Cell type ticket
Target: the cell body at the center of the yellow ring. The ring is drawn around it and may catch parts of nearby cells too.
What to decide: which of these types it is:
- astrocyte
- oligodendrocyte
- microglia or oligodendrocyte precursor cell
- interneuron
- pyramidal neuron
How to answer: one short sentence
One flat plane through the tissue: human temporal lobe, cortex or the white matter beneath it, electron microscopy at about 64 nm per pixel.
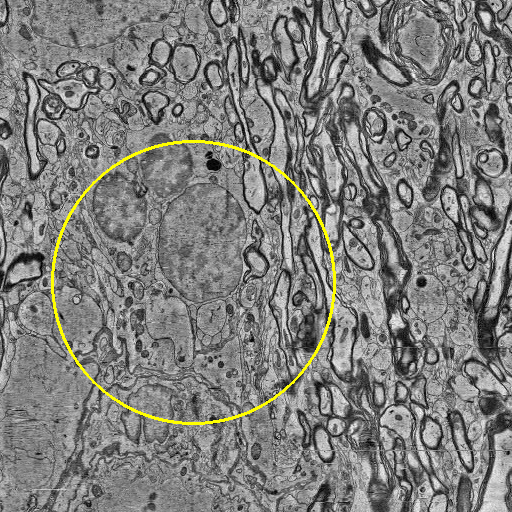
The cell at the center of the ring is an oligodendrocyte.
